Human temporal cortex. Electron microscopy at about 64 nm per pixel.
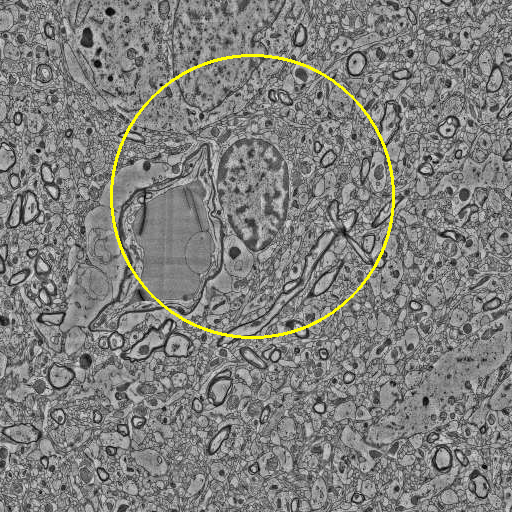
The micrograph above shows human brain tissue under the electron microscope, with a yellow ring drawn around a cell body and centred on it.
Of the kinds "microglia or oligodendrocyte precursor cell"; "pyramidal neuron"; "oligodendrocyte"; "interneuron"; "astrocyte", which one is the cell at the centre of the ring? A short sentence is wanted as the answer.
The one at the centre of the ring is a microglial cell or oligodendrocyte precursor cell.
